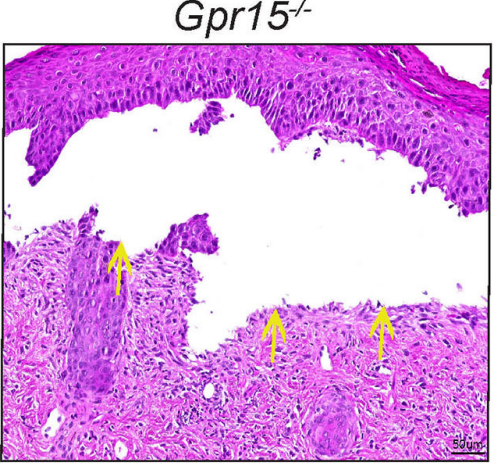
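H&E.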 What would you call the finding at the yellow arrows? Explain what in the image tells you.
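Dermal-epidermal clefts. A large empty space separates the epidermis above from the dermis below. The arrows point to the floor of that space at the dermal surface.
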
